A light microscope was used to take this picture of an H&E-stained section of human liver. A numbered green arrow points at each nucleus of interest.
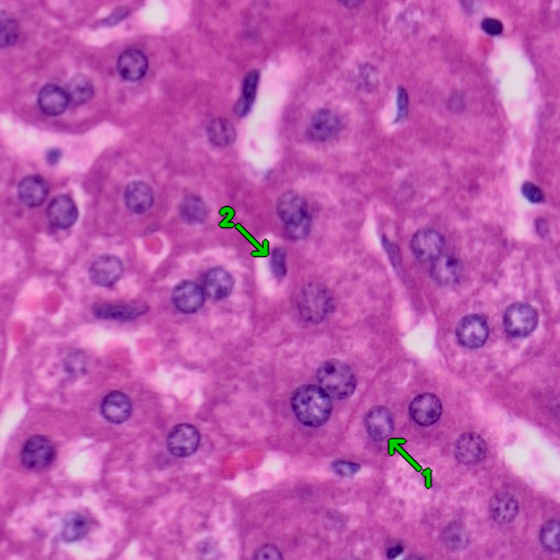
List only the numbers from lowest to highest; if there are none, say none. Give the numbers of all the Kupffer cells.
2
